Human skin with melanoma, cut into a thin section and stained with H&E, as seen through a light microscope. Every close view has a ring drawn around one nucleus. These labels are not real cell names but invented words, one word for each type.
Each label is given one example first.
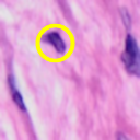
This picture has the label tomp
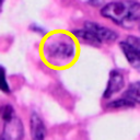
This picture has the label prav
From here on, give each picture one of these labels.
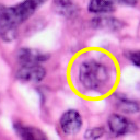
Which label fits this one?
prav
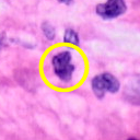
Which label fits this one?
tomp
